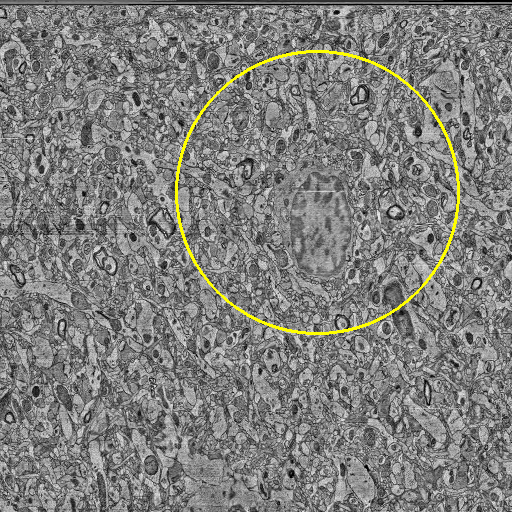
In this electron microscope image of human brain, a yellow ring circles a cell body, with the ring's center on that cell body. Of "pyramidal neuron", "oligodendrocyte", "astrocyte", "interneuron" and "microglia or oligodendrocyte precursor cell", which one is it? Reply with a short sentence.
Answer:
It is an oligodendrocyte at the center of the ring.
